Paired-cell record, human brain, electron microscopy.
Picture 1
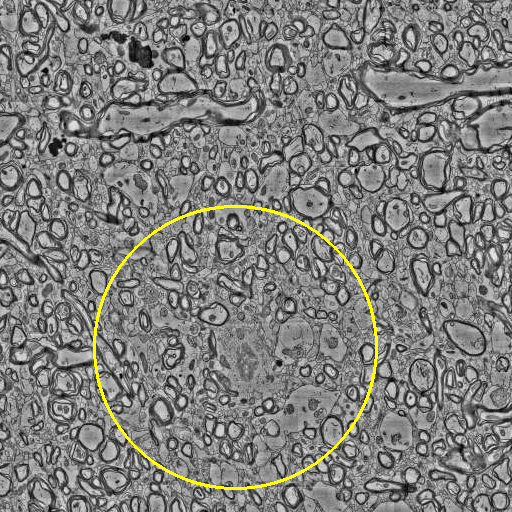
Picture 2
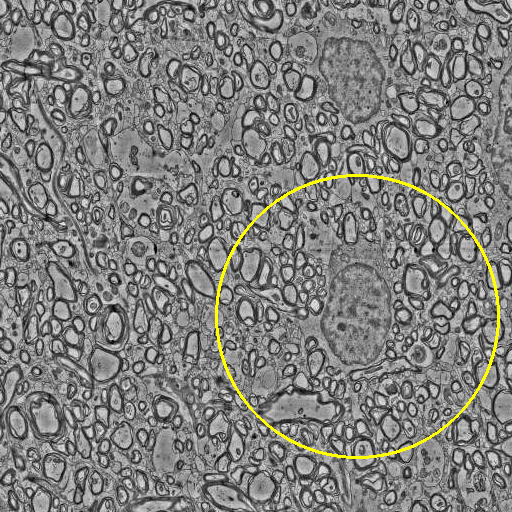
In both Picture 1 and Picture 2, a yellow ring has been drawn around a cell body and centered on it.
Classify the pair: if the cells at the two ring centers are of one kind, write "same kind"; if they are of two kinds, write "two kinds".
same kind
